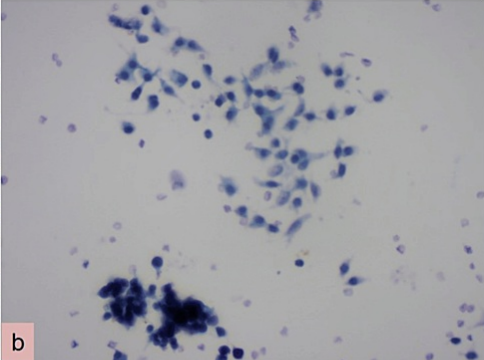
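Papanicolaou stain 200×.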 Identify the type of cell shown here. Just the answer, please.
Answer: Round to spindle cells.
